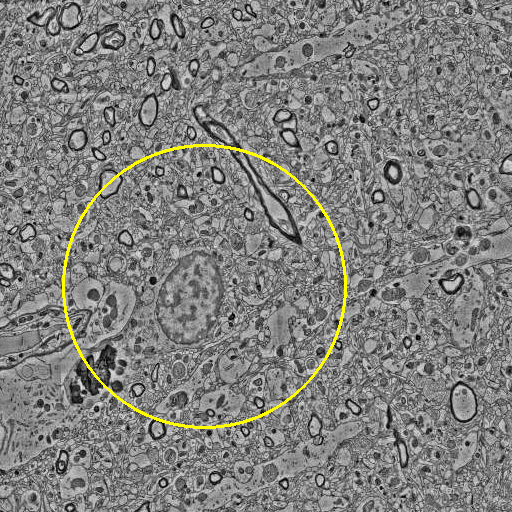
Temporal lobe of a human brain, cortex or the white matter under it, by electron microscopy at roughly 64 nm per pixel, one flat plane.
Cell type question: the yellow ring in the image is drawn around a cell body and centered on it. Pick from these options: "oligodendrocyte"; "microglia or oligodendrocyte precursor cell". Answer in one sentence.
The ringed cell at the center is an oligodendrocyte.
